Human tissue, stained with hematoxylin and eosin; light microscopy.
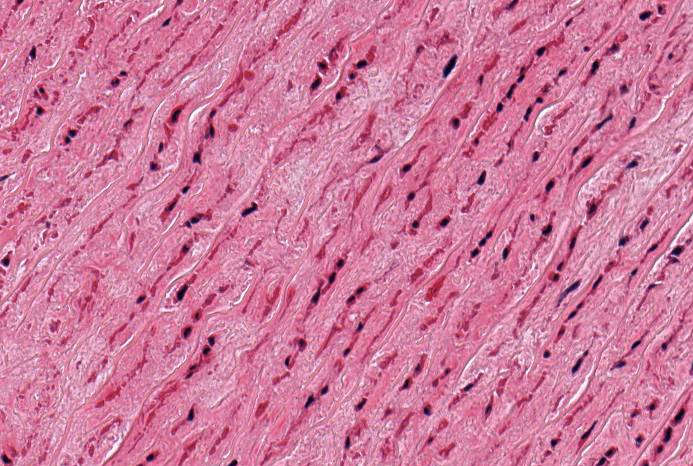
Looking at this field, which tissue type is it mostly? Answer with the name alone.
tunica media of an artery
